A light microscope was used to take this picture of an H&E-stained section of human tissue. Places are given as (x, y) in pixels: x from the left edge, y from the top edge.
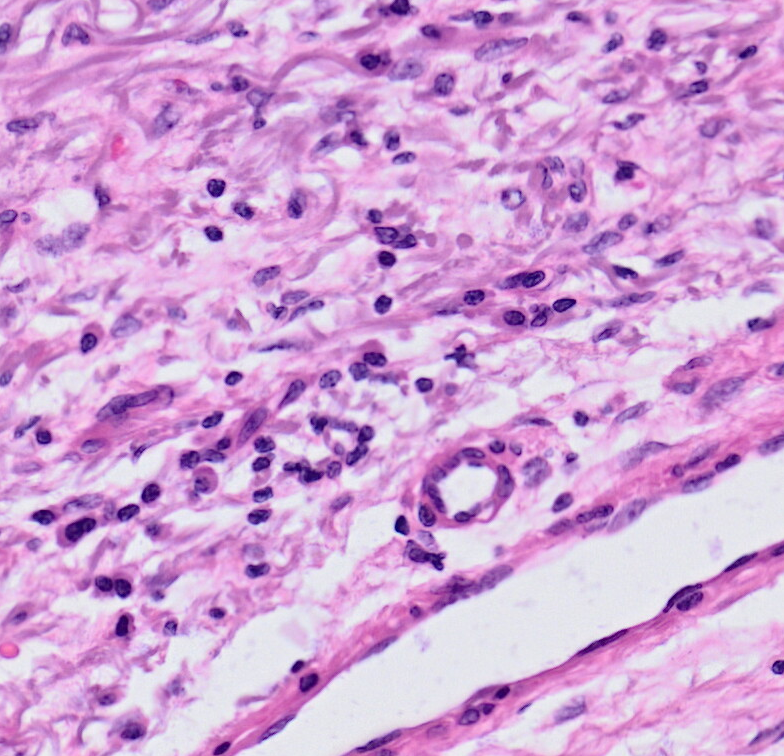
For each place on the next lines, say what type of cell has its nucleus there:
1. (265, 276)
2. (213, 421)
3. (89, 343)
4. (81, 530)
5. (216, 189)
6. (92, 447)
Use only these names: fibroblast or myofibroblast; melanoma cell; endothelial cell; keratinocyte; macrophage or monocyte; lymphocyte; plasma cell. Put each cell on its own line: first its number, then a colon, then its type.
1: macrophage or monocyte
2: lymphocyte
3: plasma cell
4: plasma cell
5: lymphocyte
6: endothelial cell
